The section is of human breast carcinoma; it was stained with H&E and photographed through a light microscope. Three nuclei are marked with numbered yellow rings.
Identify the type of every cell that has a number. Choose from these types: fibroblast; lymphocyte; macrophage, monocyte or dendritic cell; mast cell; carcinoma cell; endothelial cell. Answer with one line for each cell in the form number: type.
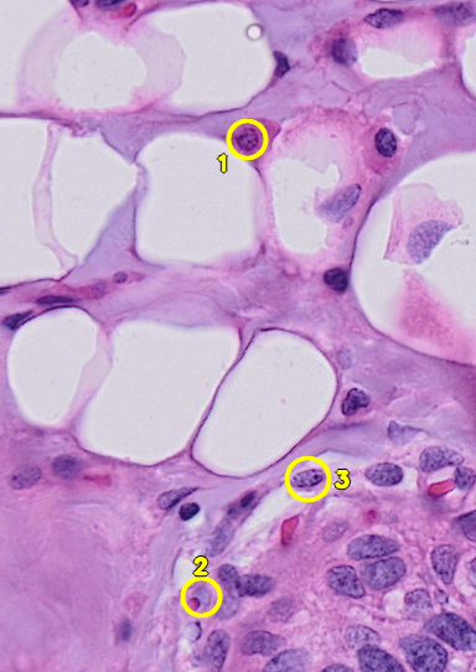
1: mast cell
2: endothelial cell
3: mast cell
